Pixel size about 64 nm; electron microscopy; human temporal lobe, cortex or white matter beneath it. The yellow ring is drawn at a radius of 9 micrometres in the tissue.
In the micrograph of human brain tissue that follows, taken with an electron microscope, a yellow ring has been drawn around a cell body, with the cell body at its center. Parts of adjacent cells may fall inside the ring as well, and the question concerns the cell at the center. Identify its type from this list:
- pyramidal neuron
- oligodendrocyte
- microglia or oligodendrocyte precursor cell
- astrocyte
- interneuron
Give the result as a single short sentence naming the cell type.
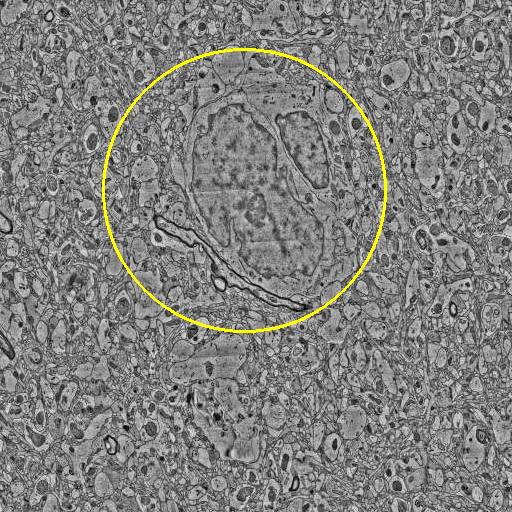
The ring is centered on an interneuron.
